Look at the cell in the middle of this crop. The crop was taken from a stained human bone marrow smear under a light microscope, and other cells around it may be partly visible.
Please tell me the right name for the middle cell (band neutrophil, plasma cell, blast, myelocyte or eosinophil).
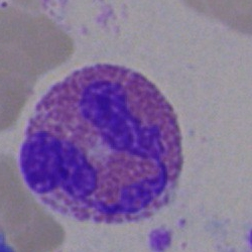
eosinophil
